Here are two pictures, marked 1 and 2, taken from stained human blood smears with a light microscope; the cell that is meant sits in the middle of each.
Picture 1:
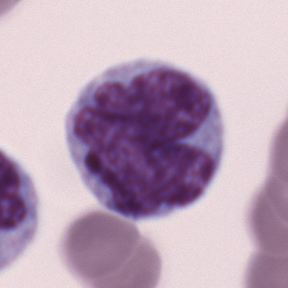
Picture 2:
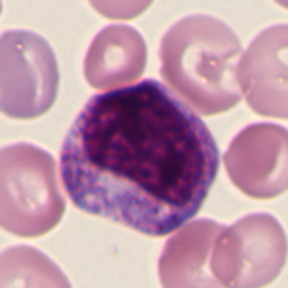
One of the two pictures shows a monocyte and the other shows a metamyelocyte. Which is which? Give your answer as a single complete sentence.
In picture 1 the cell is a monocyte; in picture 2, a metamyelocyte.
